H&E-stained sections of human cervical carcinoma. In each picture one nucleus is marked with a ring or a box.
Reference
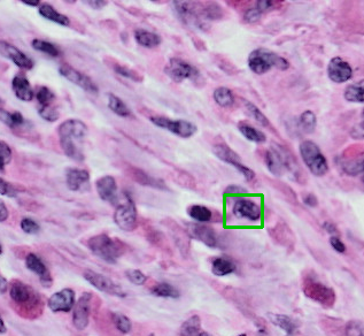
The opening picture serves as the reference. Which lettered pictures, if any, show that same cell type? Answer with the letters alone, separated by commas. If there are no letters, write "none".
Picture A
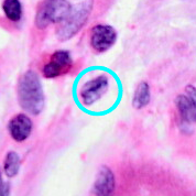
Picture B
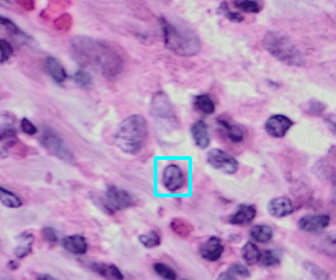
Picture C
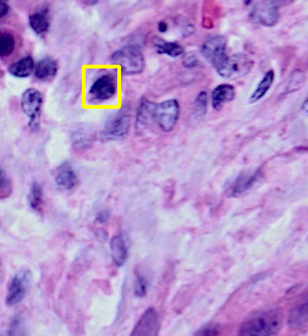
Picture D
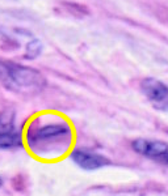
A, B, C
